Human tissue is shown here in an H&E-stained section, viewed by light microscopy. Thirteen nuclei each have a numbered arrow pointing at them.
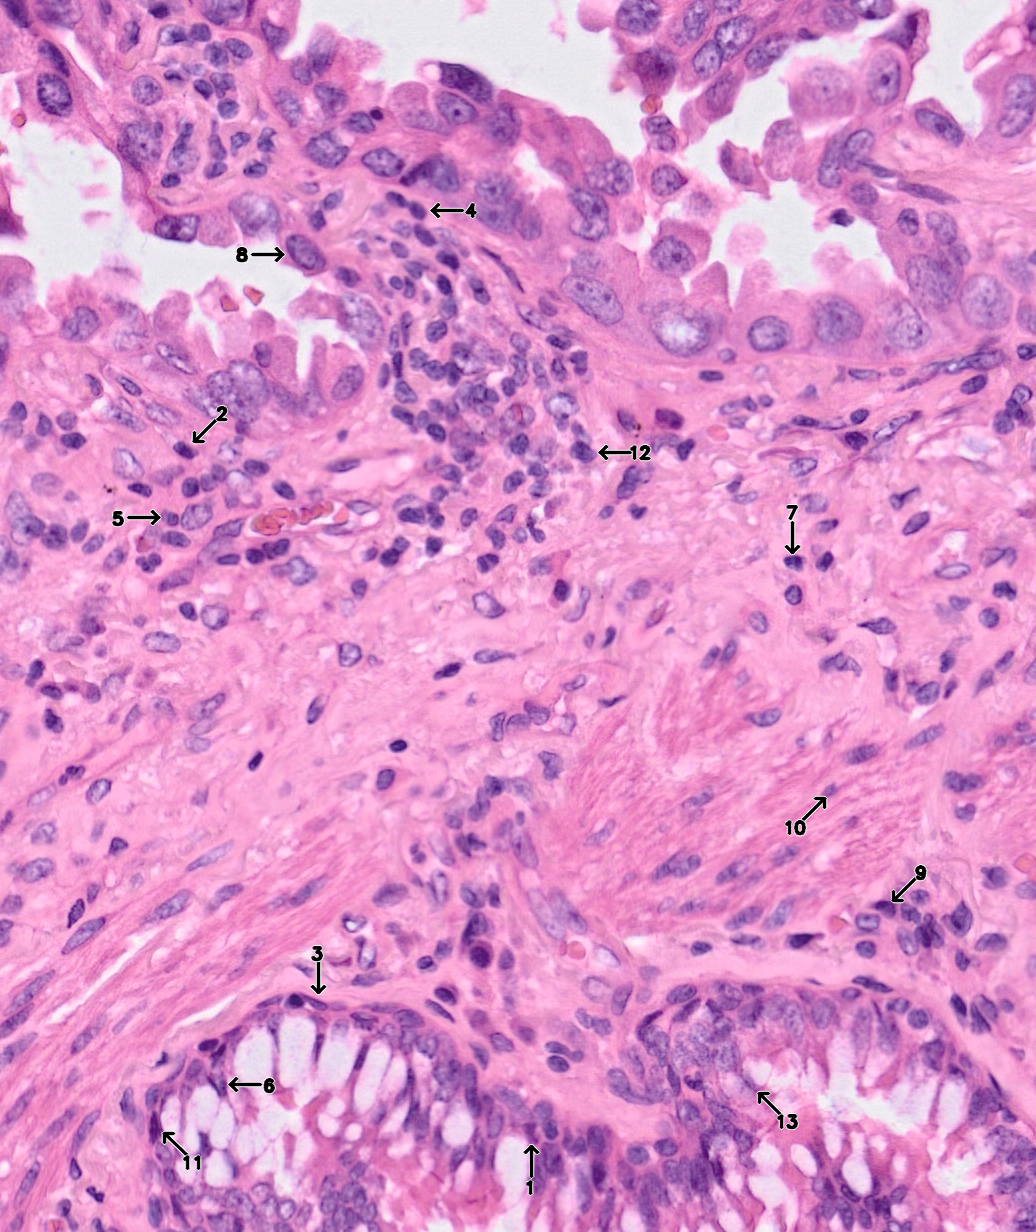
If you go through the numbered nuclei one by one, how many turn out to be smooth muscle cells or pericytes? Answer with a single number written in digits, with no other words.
1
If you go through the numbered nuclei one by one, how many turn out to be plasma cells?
1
